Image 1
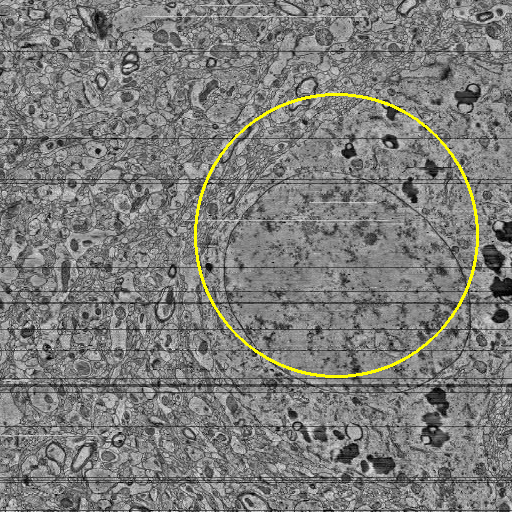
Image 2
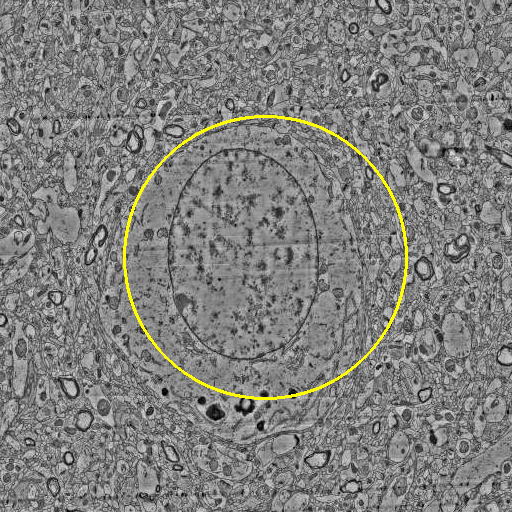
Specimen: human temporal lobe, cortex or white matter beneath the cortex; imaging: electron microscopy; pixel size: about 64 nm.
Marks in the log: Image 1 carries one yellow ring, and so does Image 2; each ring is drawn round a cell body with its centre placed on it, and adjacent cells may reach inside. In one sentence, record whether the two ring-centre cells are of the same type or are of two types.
The two cells at the ring centres, one in each image, are of the same type.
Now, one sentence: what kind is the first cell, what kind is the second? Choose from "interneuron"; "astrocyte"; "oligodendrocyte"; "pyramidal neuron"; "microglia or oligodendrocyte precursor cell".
Each of the two rings is centred on a pyramidal neuron.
